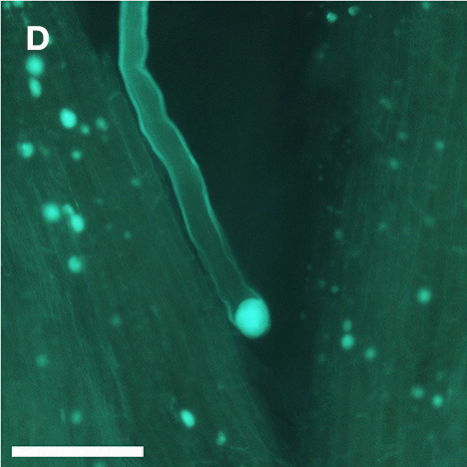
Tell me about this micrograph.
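A single pollen tube in the style, its growth stopped. On either side lie elongated cells of the style tissue, running in the same direction, with many small bright dots scattered over them. No other tube is seen continuing beyond the swollen ending.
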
